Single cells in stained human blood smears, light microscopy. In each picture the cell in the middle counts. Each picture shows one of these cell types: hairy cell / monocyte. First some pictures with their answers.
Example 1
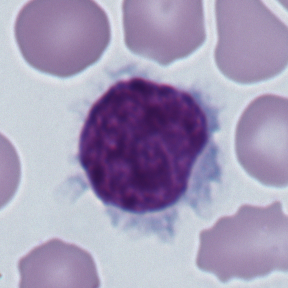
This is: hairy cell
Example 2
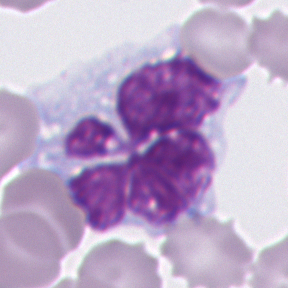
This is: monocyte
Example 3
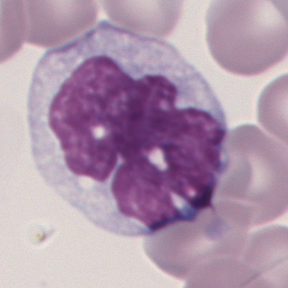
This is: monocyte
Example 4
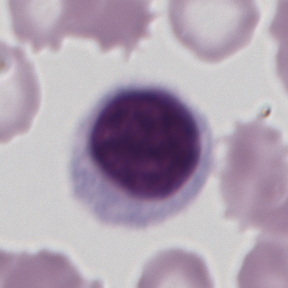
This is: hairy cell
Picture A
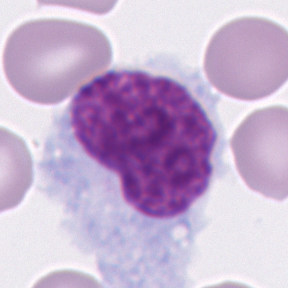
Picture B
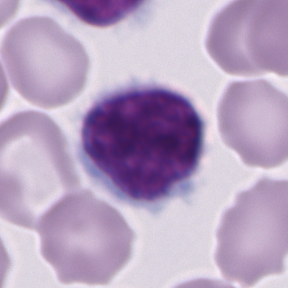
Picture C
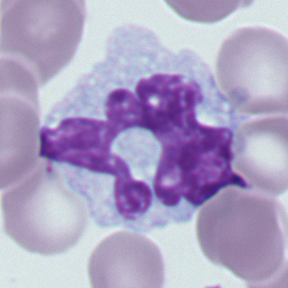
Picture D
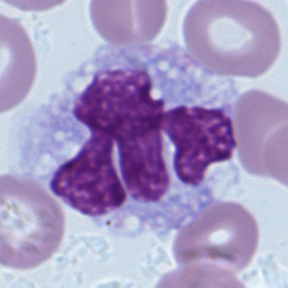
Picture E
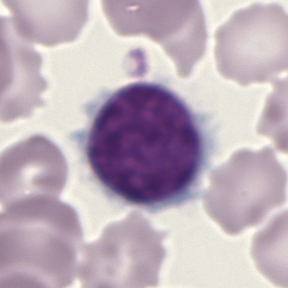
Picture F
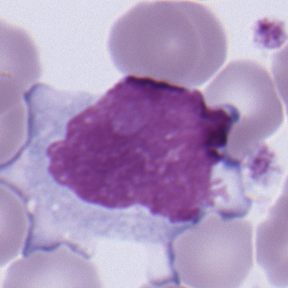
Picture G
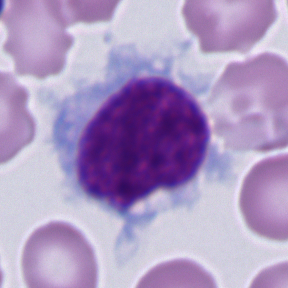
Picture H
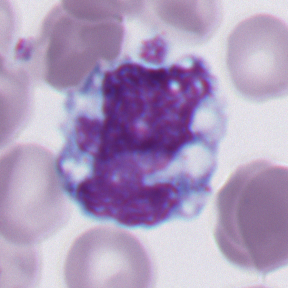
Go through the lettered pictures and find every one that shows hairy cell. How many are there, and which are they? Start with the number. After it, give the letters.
4: A, B, E, G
